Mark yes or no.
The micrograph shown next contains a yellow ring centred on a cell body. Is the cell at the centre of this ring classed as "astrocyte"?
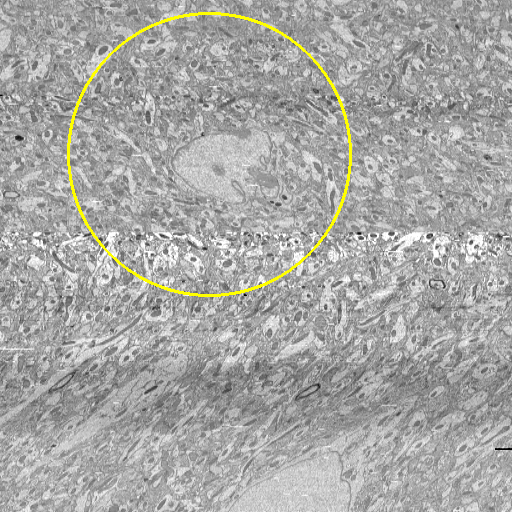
yes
